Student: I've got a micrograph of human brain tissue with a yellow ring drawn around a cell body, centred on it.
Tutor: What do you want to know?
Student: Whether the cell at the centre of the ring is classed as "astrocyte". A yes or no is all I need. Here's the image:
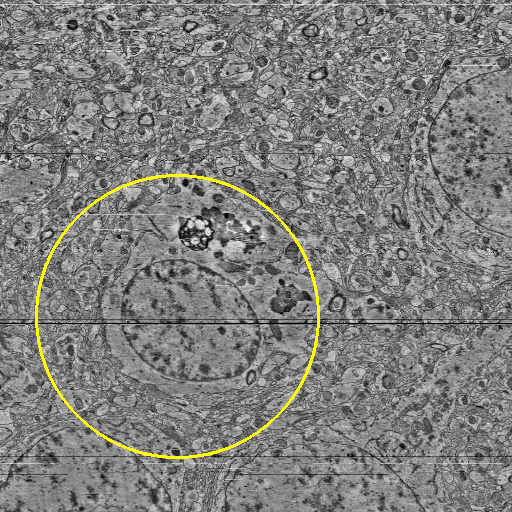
yes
